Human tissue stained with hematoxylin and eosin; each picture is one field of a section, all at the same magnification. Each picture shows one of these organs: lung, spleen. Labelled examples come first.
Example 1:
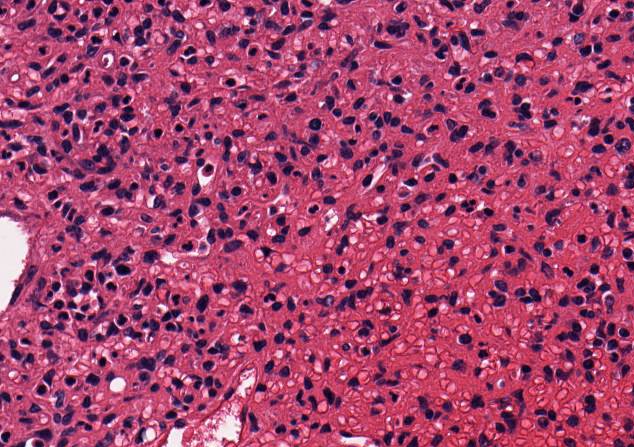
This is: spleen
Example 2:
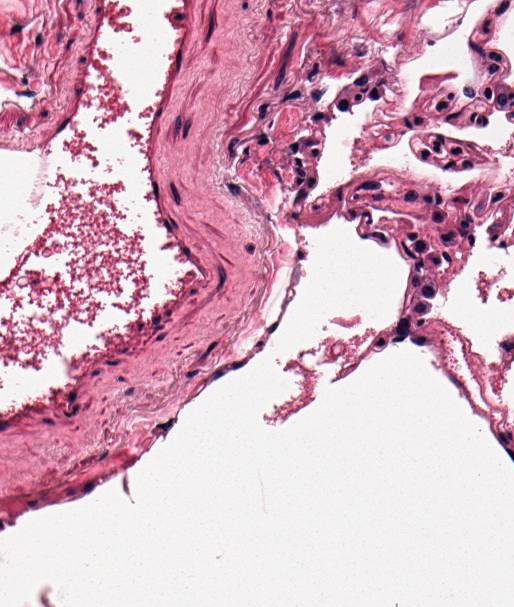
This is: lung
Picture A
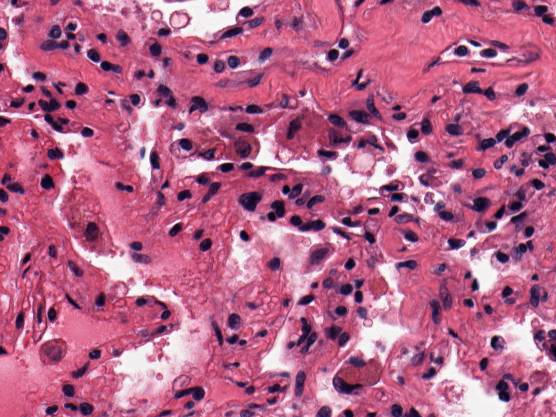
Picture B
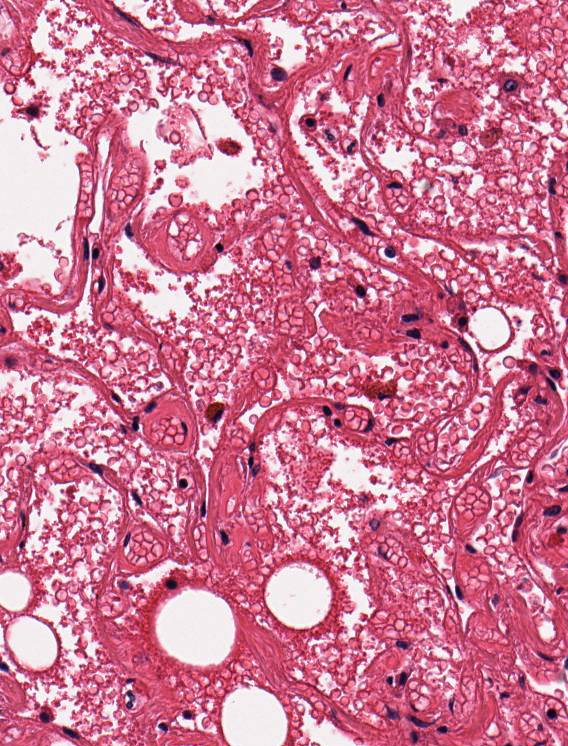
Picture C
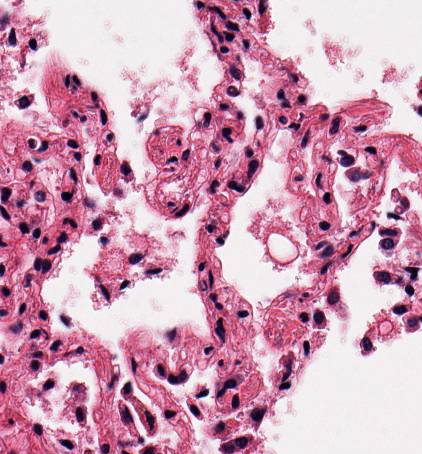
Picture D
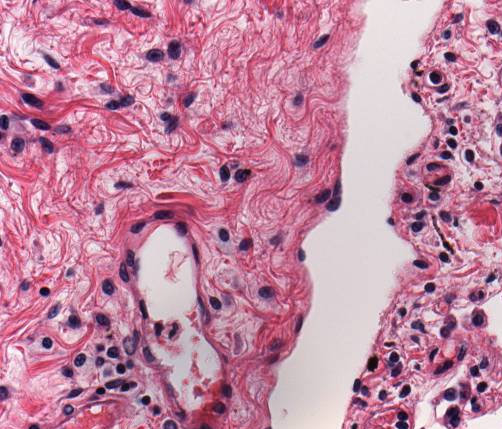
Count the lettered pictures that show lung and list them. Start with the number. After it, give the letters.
4, namely A, B, C, D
